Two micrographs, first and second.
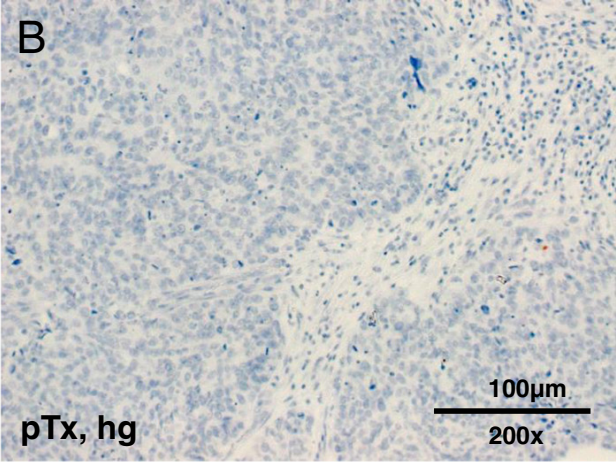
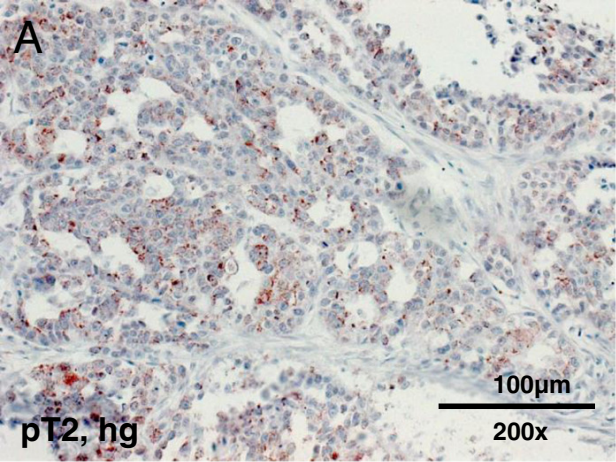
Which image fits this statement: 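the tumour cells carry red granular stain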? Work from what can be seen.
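First image: the tumour cells show only blue nuclei and pale cytoplasm, with no red stain. Second image: red granules are scattered through the cytoplasm of many tumour cells.
Hence: the second image.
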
